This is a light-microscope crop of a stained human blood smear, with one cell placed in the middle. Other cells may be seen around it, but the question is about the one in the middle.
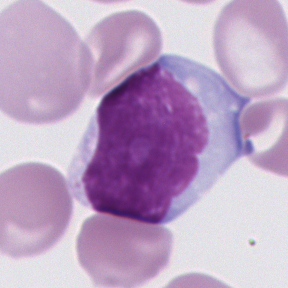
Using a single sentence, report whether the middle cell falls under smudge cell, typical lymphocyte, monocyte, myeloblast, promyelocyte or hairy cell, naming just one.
The centrally located cell in the crop is a myeloblast.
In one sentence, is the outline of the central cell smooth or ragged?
The margin of this cell is irregular, showing raggedness or projections instead of smoothness.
